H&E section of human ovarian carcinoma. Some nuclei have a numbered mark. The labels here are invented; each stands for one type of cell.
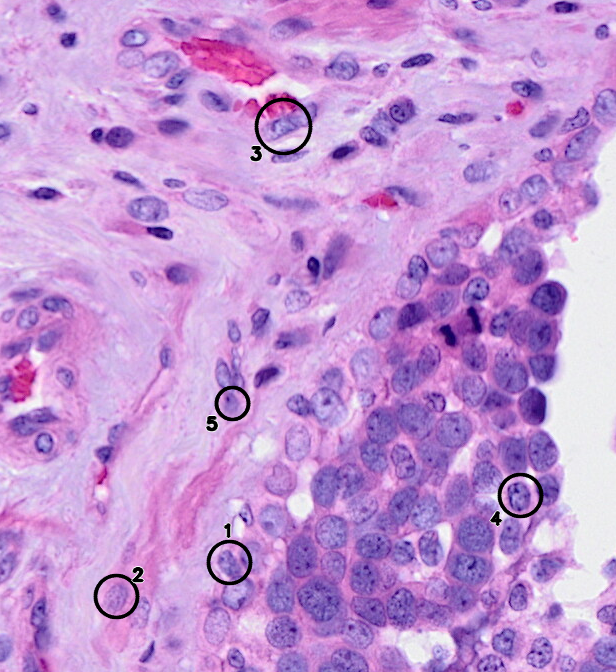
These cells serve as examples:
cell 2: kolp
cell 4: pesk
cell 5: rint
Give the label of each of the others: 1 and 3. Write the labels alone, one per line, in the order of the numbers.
pesk
rint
